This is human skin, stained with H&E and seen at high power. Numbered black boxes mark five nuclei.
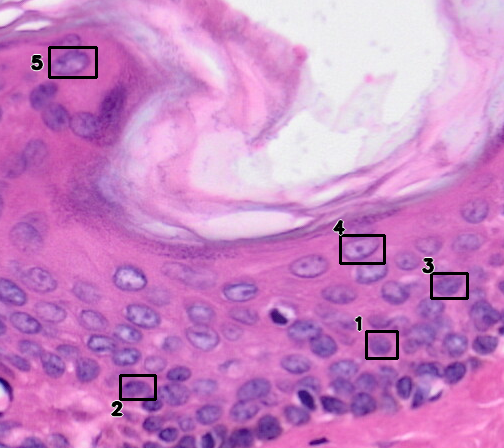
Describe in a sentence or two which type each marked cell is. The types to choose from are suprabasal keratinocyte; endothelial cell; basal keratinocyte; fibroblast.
Cells 1 and 2 are basal keratinocytes. Cells 3, 4 and 5 are suprabasal keratinocytes.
